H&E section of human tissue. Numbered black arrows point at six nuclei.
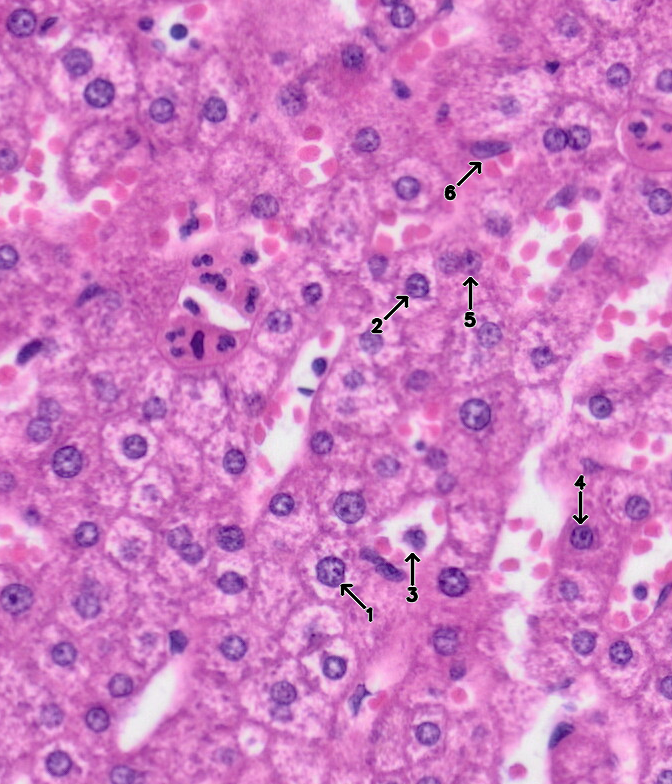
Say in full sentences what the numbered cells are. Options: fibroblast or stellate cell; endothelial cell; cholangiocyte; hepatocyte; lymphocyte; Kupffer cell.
Cells 1, 2, 4 and 5 are hepatocytes. Cells 3 and 6 are Kupffer cells.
